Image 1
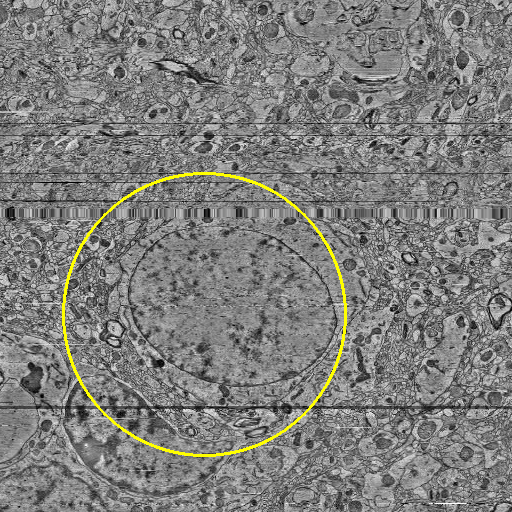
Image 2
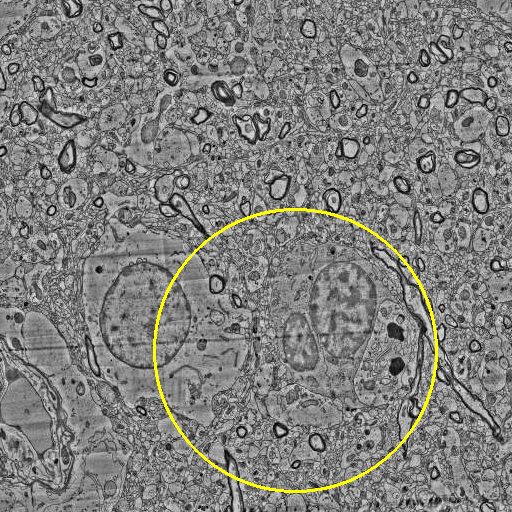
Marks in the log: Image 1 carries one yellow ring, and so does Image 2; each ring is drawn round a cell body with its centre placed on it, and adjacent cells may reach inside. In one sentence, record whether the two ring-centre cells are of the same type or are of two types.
The two cells at the ring centres, one in each image, are of two types.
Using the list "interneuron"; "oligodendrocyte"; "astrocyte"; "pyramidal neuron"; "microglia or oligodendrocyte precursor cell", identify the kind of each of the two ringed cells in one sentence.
The first is a pyramidal neuron and the second is an oligodendrocyte.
